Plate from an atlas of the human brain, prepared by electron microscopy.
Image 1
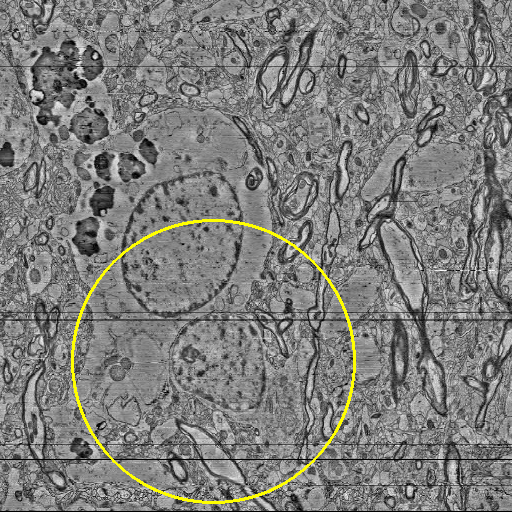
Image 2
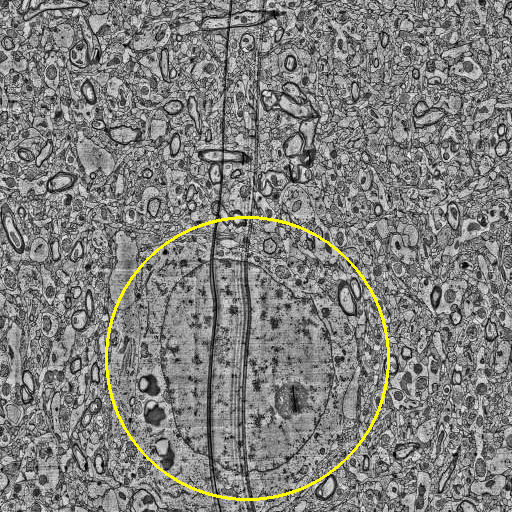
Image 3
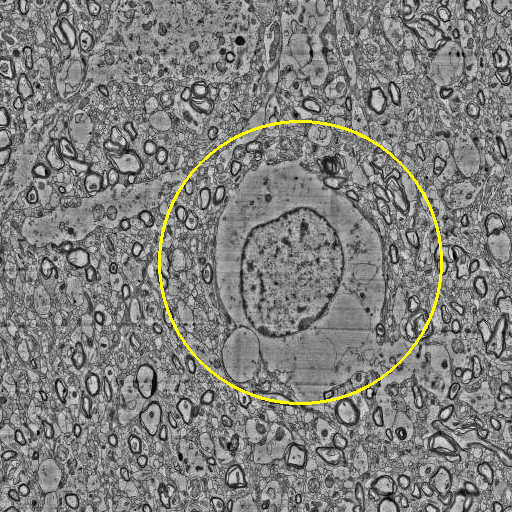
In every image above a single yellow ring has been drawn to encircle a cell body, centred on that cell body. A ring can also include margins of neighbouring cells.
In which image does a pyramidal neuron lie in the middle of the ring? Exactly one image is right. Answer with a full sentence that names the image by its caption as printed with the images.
Image 2 holds the requested cell at the very centre of its ring.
